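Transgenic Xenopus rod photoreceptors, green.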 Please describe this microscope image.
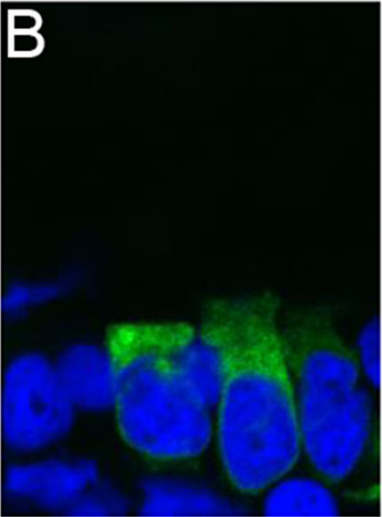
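The green fluorescence is confined to a short zone just above the nuclei, the inner segments, and to a thin rim around the nuclei. The region above, where the outer segments lie, is dark. Only a few cells in the row carry the green label, while neighbouring nuclei are unlabelled.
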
